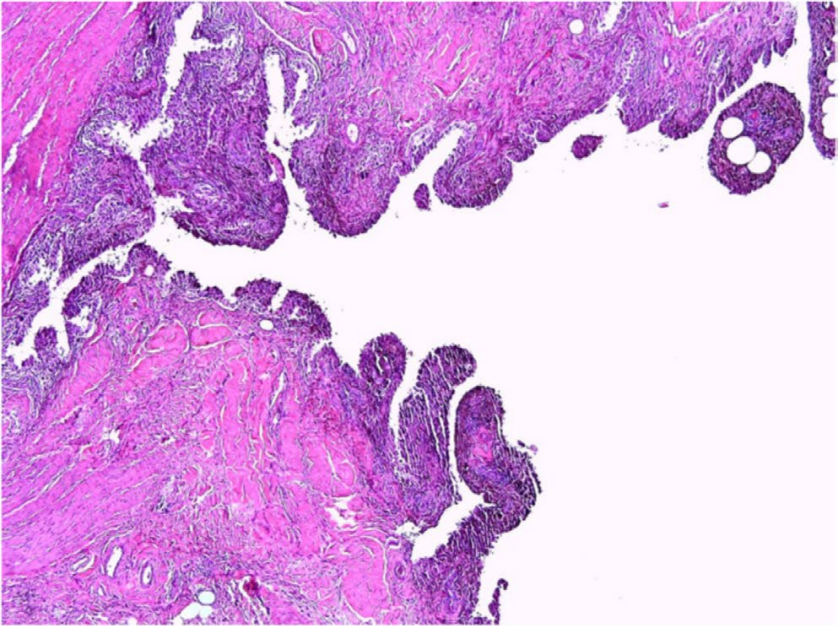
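At low power the synovium is hyperplastic, its surface raised into numerous villous and papillary projections that extend into an open space. The projections are densely cellular and stain dark purple, while the deeper tissue is pale pink fibrous stroma with small vessels and a few fat spaces.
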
